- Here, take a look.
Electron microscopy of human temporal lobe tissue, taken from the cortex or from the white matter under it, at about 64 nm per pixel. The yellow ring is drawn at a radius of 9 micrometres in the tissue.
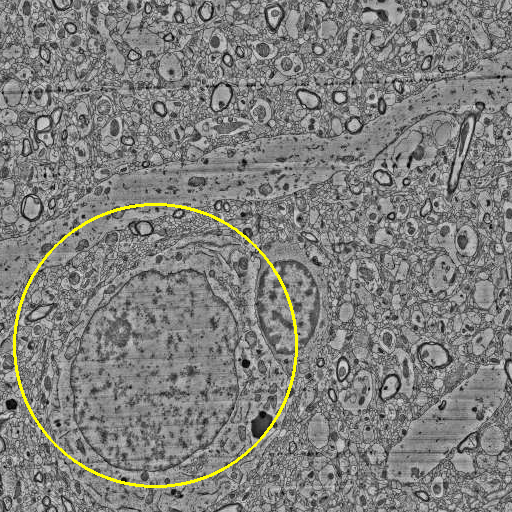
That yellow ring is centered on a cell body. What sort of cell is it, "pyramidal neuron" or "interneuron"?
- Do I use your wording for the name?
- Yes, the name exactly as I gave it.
interneuron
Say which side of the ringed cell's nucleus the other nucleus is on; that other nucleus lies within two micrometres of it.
The other nucleus lies to the upper right of it in the picture.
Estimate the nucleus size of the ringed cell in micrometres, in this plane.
The nucleus of the ringed cell is approximately 13 by 11 micrometres in this plane.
